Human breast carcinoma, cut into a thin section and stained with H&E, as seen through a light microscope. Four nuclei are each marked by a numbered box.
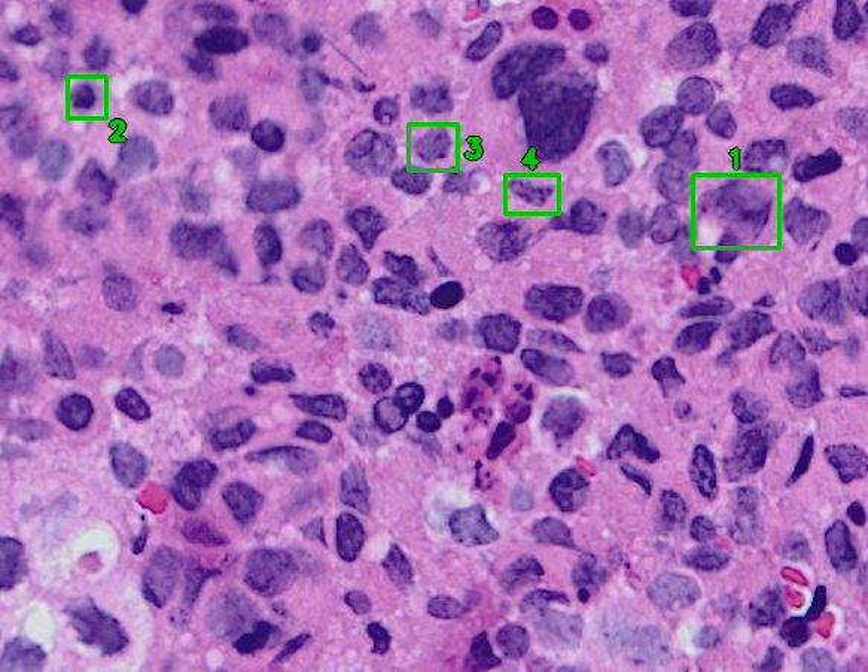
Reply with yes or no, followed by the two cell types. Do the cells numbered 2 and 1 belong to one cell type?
No, cell 1 is a carcinoma cell, whereas cell 2 is a lymphocyte.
